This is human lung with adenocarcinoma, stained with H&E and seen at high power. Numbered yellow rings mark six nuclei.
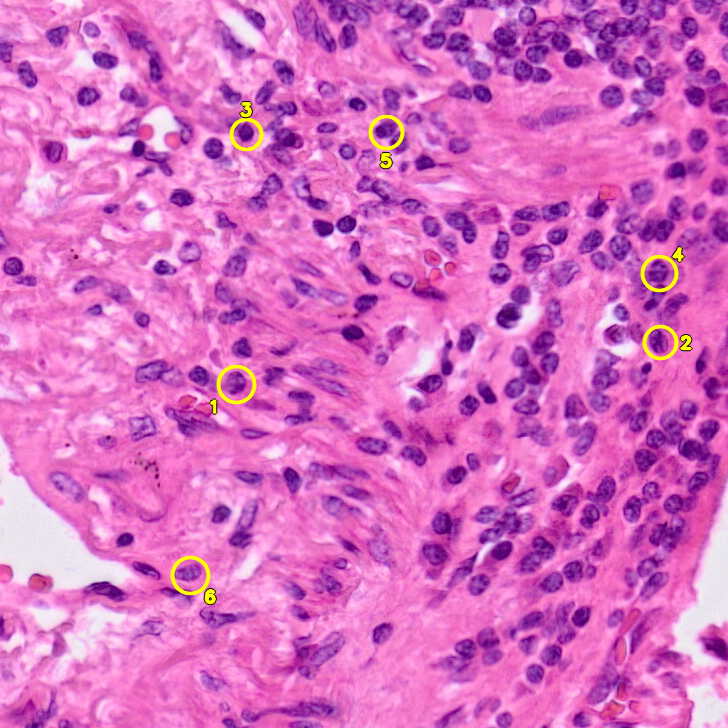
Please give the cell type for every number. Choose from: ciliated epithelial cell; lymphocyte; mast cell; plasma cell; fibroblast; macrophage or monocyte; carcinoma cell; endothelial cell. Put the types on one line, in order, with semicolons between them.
plasma cell; lymphocyte; lymphocyte; lymphocyte; lymphocyte; mast cell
